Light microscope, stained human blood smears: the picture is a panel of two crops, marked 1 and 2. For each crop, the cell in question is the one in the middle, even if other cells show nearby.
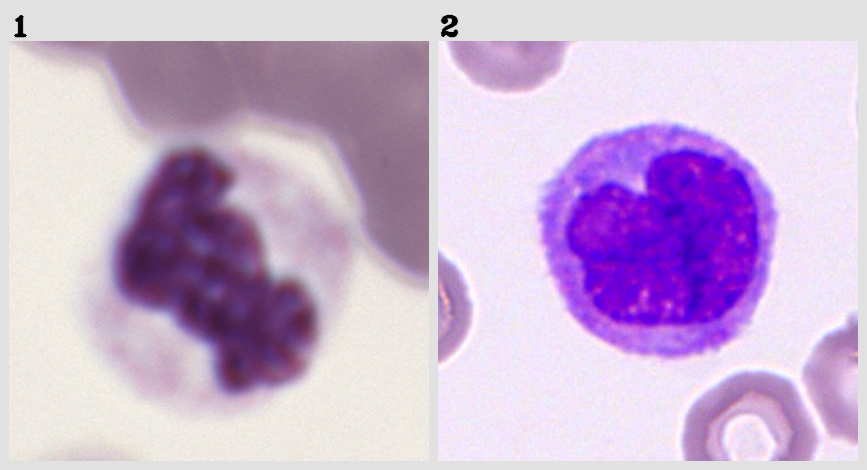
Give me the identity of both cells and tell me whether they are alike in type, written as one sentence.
No, for crop 1 the cell is a segmented neutrophil, and for crop 2 it is a monocyte.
